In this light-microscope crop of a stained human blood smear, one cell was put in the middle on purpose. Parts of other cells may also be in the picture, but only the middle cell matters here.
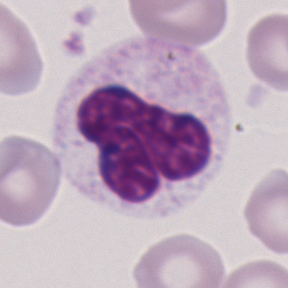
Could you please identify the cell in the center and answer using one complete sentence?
This crop has a segmented neutrophil at its centre.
